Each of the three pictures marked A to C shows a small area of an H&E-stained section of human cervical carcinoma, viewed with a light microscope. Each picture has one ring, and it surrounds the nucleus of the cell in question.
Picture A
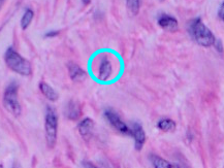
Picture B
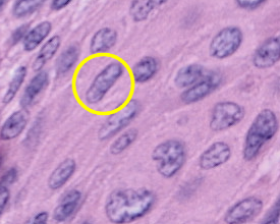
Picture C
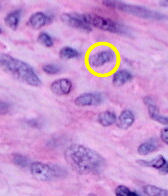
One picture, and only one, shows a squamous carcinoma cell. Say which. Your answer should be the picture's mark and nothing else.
B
